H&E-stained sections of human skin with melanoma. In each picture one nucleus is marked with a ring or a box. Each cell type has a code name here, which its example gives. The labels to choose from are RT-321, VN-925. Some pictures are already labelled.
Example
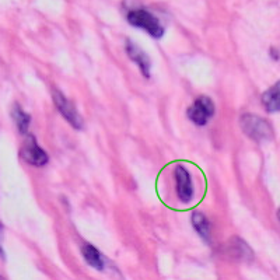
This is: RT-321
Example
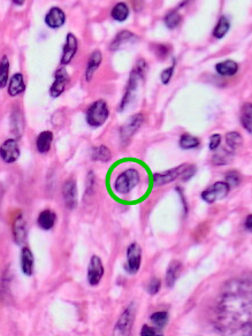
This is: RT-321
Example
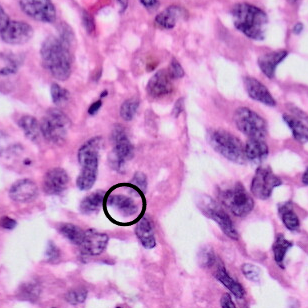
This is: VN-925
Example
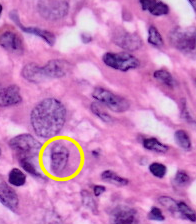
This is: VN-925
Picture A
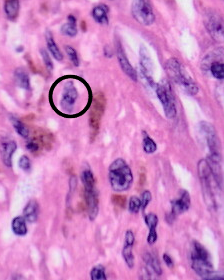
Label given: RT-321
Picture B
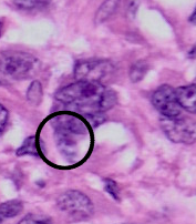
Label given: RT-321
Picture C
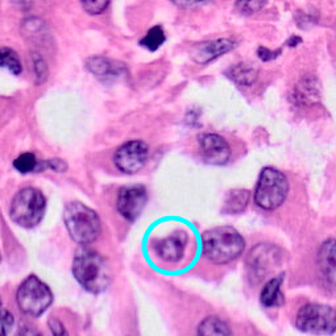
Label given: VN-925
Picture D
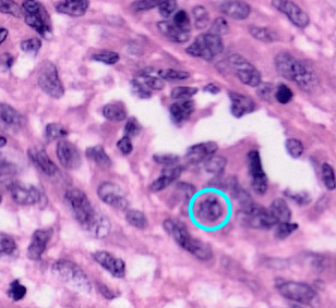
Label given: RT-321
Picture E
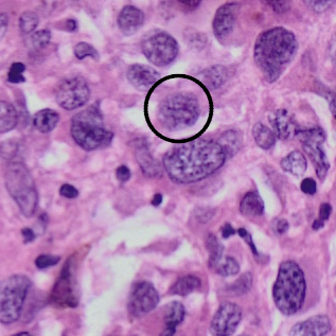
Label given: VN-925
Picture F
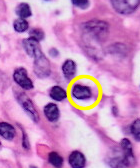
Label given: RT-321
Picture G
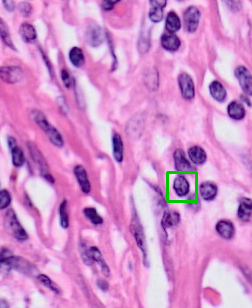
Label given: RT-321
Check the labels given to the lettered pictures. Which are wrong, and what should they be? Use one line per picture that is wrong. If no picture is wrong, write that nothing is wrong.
B: change RT-321 to VN-925
D: change RT-321 to VN-925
